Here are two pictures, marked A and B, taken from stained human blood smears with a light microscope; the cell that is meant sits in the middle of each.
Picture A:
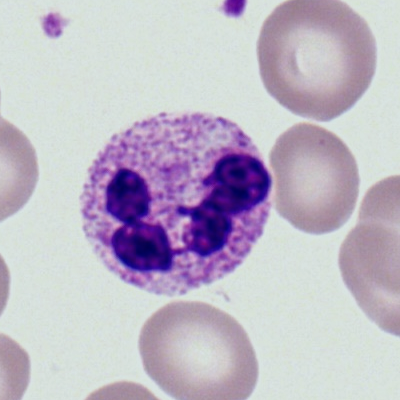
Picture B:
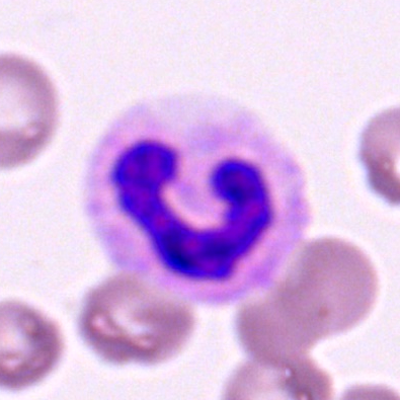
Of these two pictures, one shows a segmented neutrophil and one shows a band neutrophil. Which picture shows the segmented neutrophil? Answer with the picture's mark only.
A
